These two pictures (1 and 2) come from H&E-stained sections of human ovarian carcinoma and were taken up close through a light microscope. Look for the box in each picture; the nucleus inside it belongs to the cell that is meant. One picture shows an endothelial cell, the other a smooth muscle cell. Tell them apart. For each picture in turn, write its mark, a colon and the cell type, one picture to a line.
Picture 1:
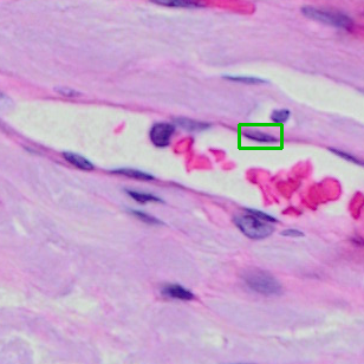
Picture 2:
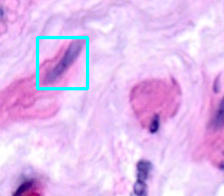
1: endothelial cell
2: smooth muscle cell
